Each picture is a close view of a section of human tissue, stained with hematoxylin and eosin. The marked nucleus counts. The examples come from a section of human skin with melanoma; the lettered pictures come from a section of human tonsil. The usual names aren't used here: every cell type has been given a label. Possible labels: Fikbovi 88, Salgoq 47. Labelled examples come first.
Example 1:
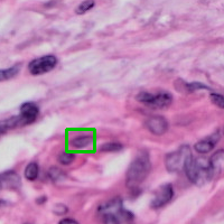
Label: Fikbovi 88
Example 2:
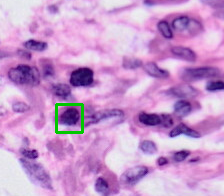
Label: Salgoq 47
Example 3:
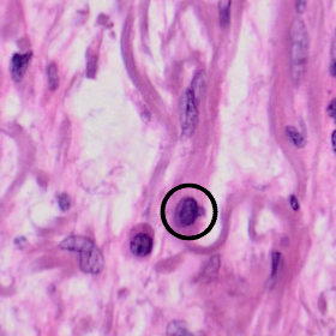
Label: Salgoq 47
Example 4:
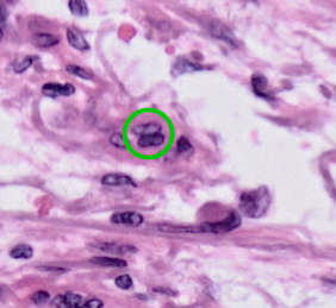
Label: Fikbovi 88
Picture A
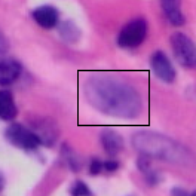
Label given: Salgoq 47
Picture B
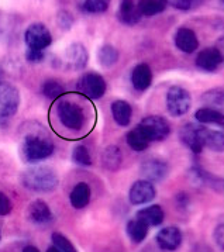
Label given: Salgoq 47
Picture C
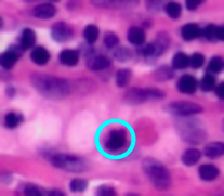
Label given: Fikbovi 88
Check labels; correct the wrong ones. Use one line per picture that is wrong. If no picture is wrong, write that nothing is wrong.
Wrong: A (Salgoq 47); correct: Fikbovi 88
